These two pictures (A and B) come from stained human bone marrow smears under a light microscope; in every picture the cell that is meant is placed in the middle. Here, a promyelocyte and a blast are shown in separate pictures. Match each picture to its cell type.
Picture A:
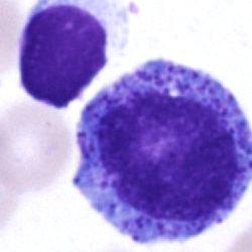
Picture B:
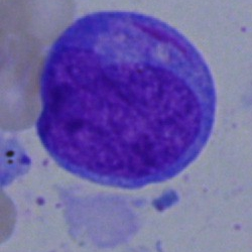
A: promyelocyte
B: blast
